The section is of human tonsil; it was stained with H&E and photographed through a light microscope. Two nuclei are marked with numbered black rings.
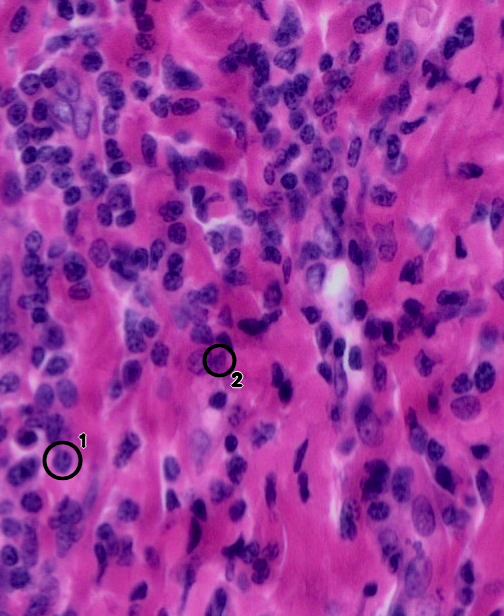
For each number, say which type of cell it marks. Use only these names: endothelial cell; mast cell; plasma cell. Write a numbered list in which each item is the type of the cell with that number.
1. mast cell
2. endothelial cell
